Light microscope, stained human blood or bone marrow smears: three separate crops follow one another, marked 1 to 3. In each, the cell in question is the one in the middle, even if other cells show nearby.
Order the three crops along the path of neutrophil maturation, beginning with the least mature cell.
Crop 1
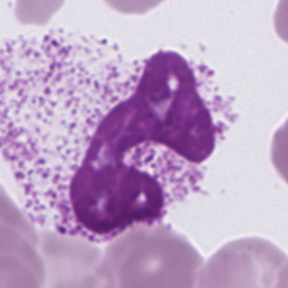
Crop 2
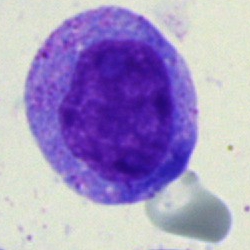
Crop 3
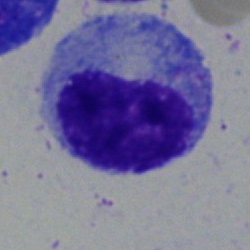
2, 3, 1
